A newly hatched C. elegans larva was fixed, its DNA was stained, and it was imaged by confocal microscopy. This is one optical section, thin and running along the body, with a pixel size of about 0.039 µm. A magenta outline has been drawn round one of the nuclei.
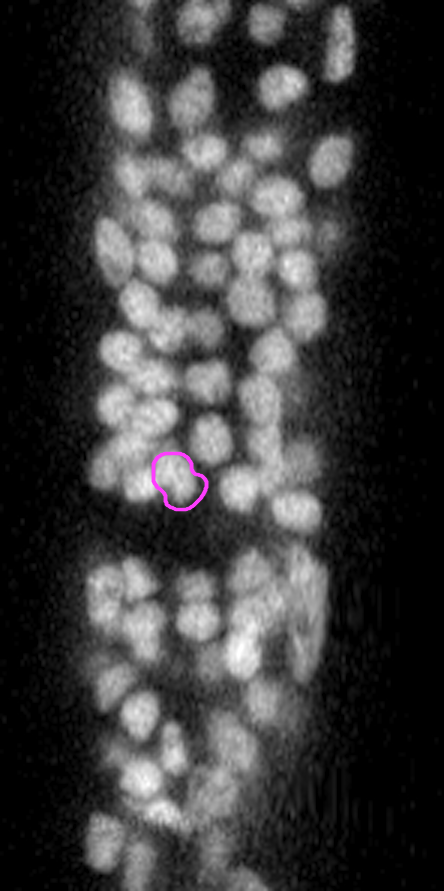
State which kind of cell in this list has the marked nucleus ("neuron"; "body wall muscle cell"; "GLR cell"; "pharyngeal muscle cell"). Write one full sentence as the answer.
It belongs to a GLR cell.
